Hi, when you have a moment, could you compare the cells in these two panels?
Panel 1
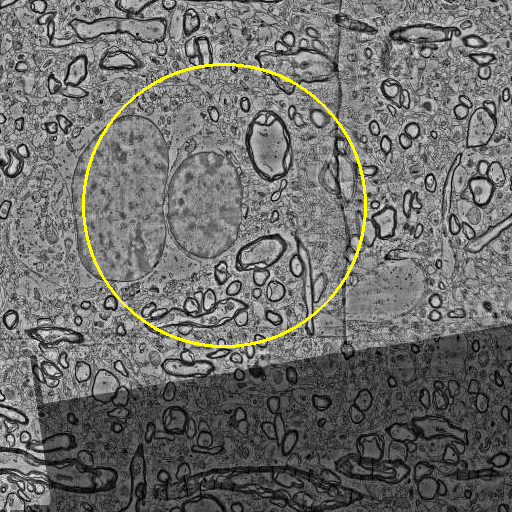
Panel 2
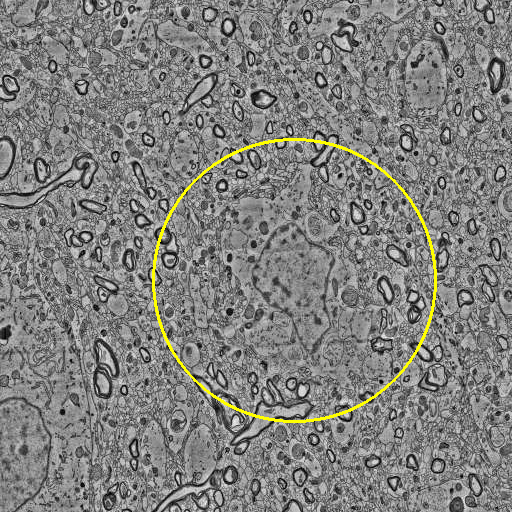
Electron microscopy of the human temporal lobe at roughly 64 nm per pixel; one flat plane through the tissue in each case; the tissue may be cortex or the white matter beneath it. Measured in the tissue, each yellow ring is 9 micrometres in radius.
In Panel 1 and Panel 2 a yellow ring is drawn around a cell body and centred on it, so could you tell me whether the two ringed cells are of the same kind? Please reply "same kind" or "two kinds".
two kinds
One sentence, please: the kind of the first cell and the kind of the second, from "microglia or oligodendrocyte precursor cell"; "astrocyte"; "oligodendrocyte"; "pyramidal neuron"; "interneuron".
The ring in the first picture surrounds an oligodendrocyte, and the ring in the second surrounds an astrocyte.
